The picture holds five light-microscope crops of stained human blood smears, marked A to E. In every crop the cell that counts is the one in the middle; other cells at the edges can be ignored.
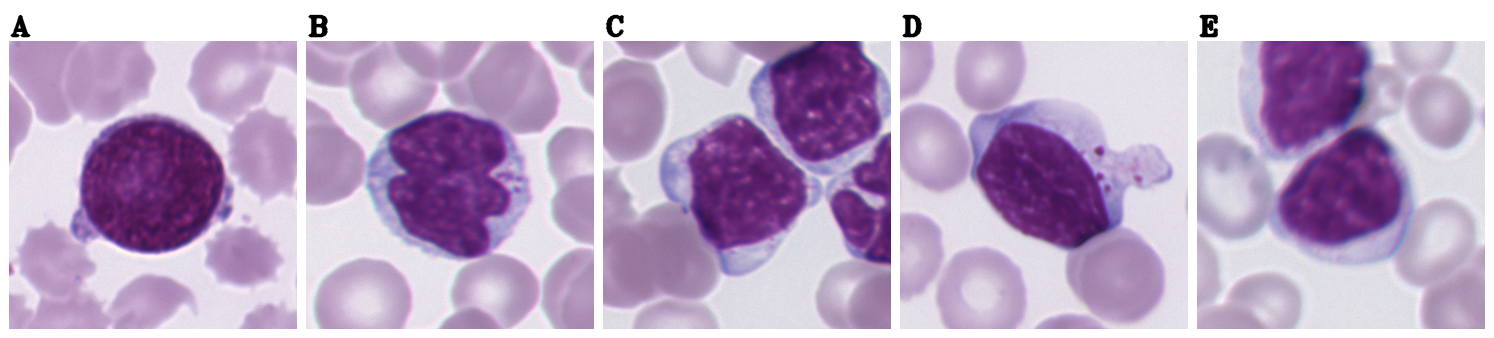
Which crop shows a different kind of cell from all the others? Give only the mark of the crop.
A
